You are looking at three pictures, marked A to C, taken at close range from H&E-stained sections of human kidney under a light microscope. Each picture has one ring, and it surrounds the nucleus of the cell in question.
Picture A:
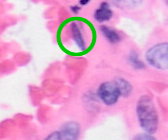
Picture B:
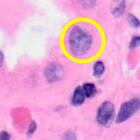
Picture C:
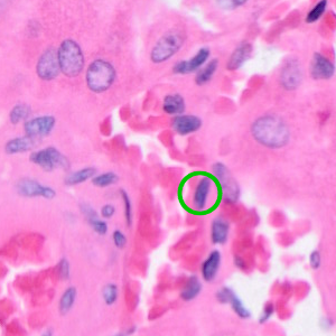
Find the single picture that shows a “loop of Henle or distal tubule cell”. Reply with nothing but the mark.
B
